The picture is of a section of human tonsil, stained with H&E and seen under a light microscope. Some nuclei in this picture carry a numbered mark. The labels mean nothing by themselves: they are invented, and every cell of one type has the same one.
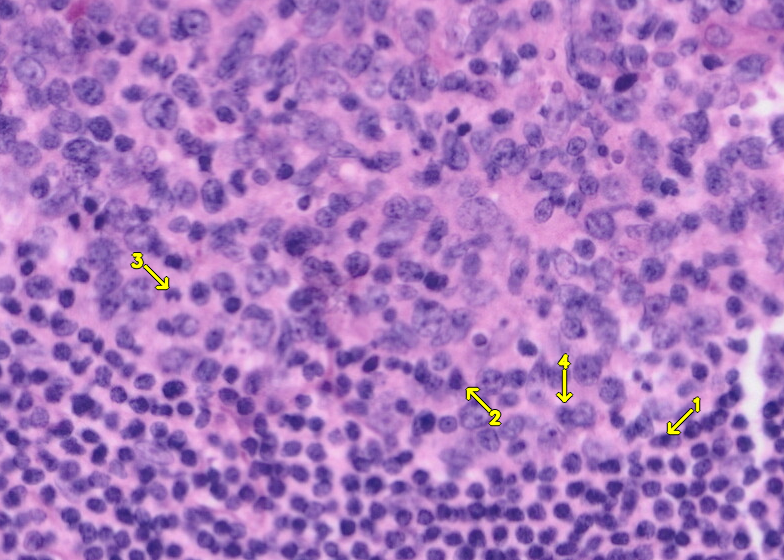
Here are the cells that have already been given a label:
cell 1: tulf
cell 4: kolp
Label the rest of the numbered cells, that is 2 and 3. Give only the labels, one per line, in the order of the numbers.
kolp
kolp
